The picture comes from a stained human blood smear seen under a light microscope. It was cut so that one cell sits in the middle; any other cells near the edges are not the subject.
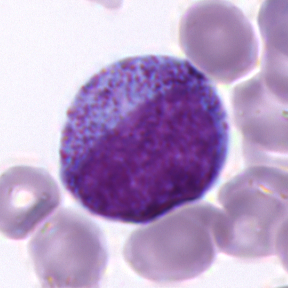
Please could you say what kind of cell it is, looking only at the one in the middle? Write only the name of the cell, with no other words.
promyelocyte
